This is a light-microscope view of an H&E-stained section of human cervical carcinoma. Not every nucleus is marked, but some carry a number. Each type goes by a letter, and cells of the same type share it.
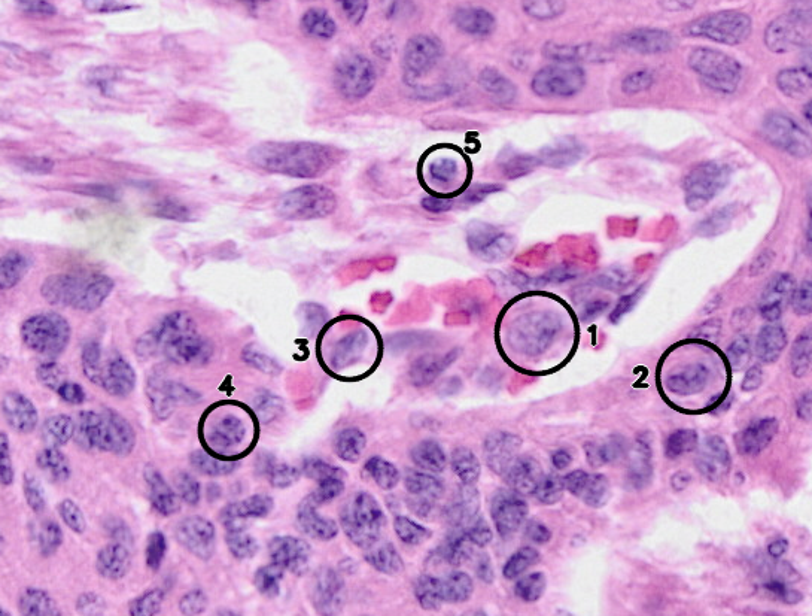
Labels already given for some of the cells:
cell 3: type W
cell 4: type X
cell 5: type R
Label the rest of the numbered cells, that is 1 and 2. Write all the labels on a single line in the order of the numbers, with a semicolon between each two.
type W; type X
